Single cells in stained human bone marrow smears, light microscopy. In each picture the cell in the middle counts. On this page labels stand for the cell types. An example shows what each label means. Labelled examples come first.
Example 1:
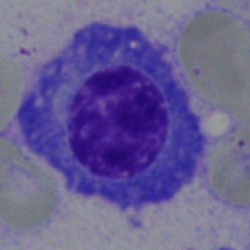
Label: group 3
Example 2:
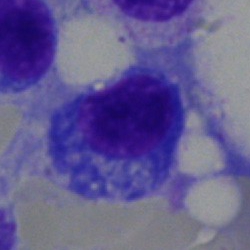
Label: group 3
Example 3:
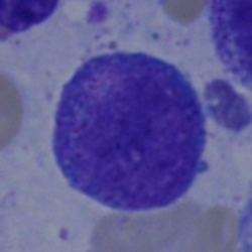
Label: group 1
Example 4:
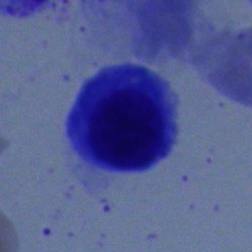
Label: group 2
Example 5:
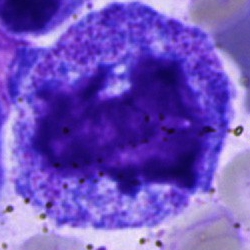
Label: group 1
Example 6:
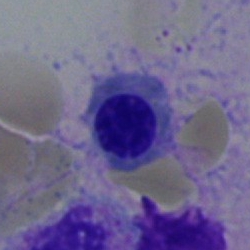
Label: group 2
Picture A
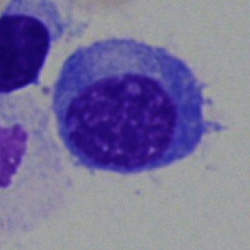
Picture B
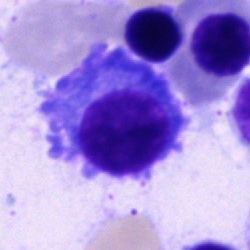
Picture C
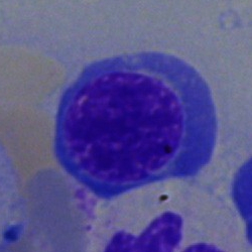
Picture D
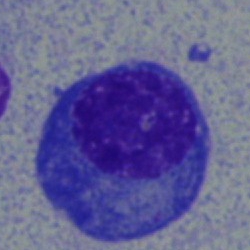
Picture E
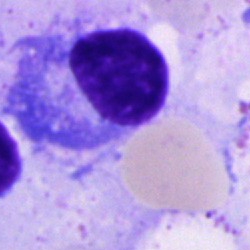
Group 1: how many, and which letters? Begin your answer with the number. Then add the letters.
0, none of them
